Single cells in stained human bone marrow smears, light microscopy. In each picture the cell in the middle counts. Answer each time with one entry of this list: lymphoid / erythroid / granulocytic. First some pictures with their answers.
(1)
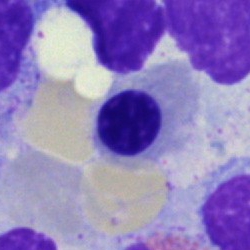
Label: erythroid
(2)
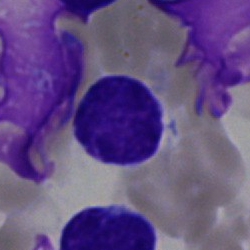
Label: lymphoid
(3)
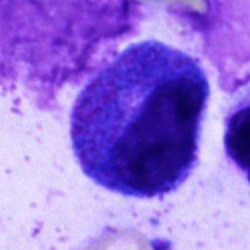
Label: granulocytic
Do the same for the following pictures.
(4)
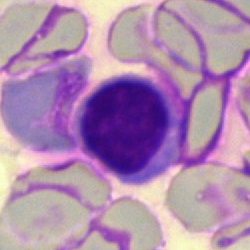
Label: lymphoid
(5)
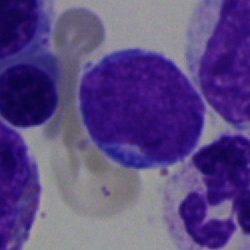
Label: lymphoid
